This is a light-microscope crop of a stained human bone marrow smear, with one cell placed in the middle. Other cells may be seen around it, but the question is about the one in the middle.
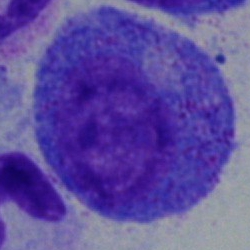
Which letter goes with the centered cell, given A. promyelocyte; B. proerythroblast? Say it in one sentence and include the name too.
Option A is the correct selection, for the cell at the centre is a promyelocyte.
